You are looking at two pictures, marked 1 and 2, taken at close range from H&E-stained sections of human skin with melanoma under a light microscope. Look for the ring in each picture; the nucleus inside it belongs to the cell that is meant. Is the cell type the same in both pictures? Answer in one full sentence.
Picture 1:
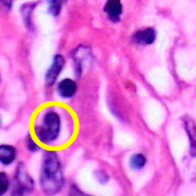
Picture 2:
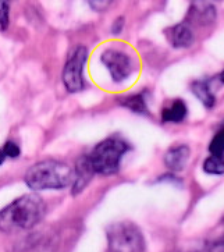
No; the cell in picture 1 is a lymphocyte, while the one in picture 2 is a melanoma cell.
